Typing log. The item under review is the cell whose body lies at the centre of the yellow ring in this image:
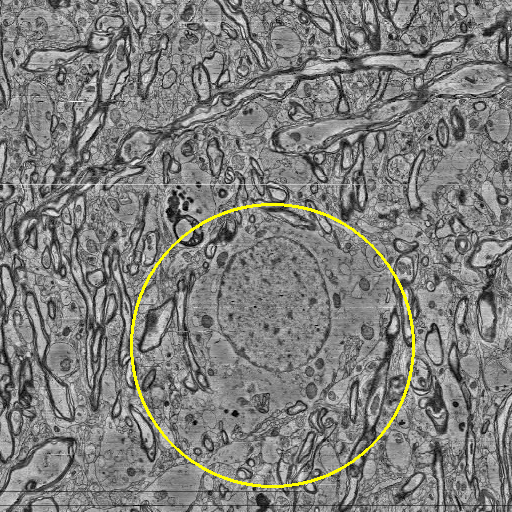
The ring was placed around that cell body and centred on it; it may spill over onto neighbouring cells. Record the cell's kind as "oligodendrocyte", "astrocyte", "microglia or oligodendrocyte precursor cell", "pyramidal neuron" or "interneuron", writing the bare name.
astrocyte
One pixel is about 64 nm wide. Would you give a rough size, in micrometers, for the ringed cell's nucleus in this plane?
In this plane the nucleus measures roughly 9 by 7 micrometers.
